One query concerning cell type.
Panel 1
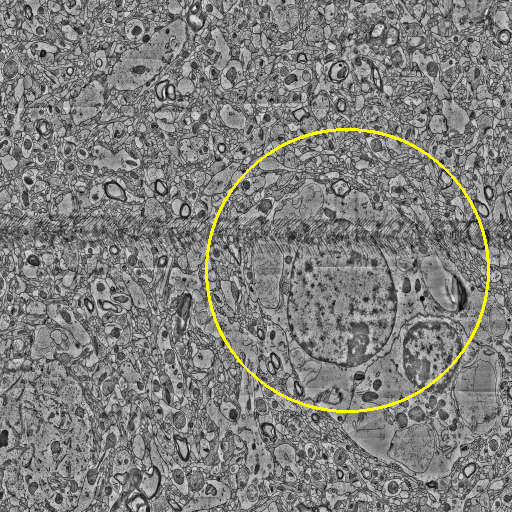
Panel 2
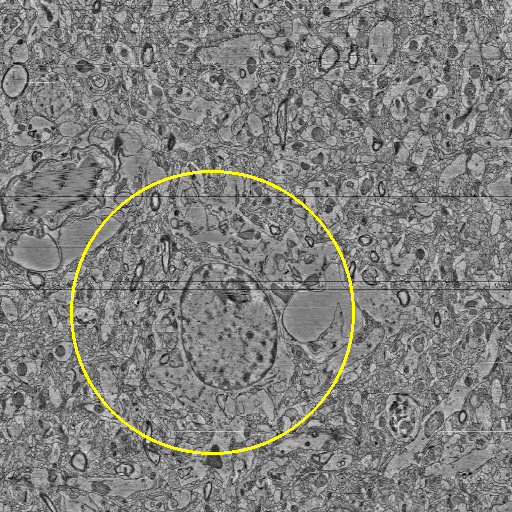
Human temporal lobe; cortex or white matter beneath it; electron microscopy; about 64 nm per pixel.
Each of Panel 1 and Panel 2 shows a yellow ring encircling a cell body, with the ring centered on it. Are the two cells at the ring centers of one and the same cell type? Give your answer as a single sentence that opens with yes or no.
Yes, the cell centered in Panel 1 and the one in Panel 2 share a type.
